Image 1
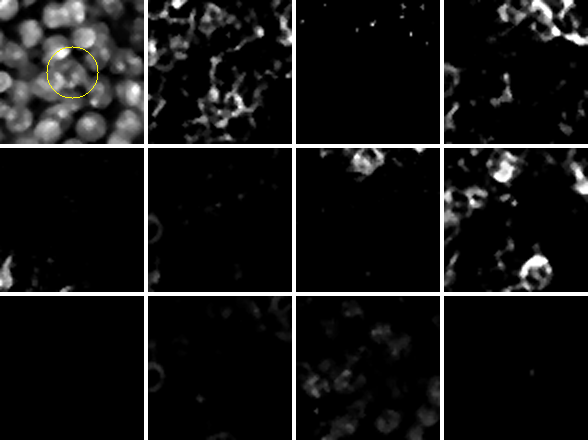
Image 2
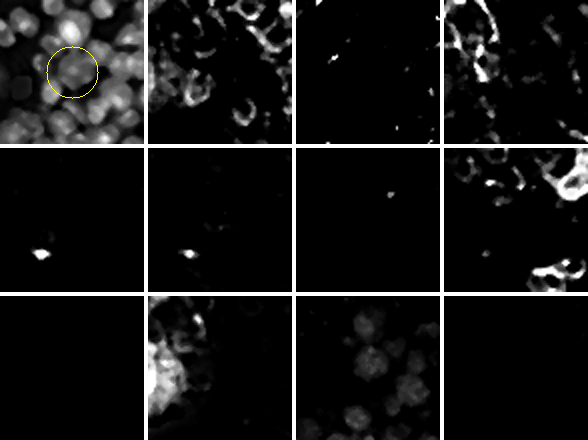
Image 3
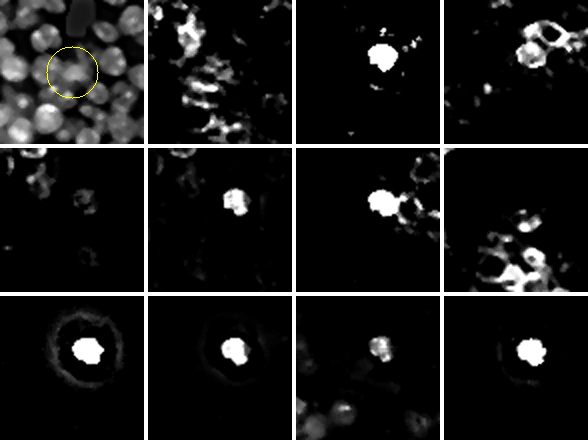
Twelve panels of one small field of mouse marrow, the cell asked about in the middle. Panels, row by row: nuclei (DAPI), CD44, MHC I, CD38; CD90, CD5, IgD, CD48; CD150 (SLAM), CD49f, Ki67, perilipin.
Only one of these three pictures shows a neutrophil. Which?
Picture 1.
